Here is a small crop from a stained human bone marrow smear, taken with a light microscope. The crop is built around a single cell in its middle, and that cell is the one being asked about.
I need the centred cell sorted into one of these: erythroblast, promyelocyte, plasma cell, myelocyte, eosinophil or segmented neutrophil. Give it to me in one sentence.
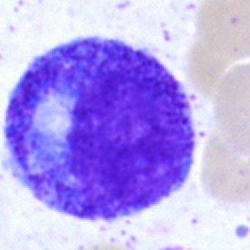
The centrally placed cell is classified as a promyelocyte.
